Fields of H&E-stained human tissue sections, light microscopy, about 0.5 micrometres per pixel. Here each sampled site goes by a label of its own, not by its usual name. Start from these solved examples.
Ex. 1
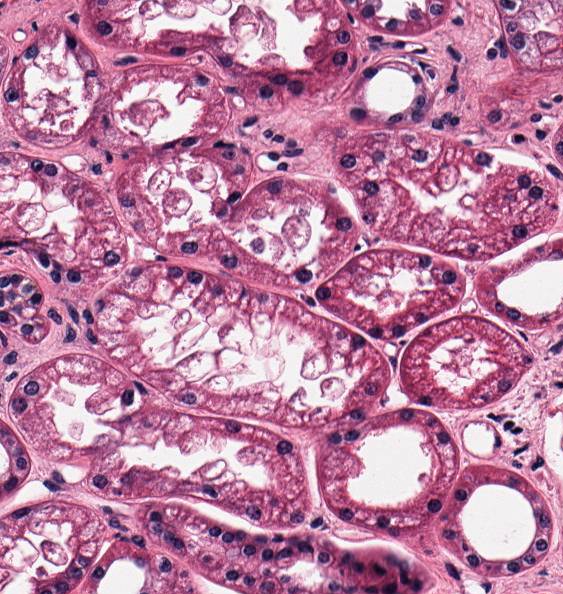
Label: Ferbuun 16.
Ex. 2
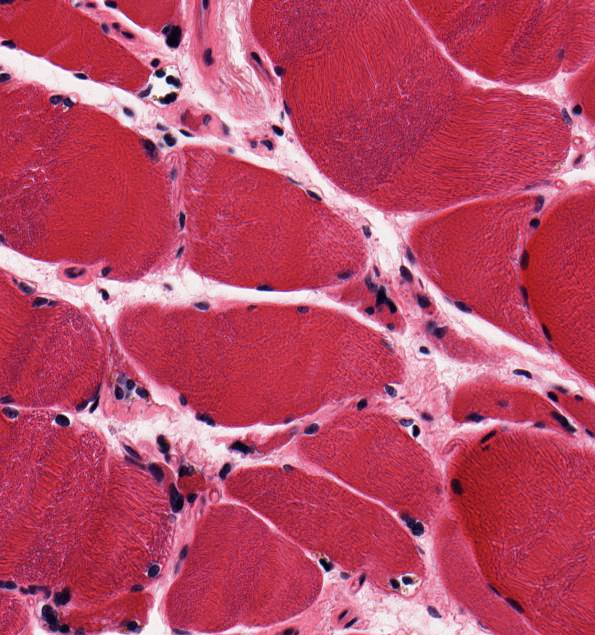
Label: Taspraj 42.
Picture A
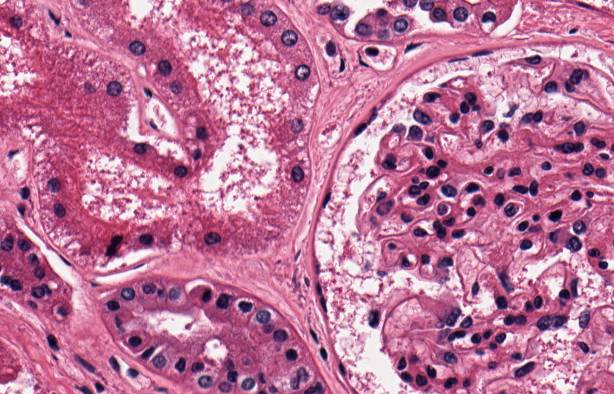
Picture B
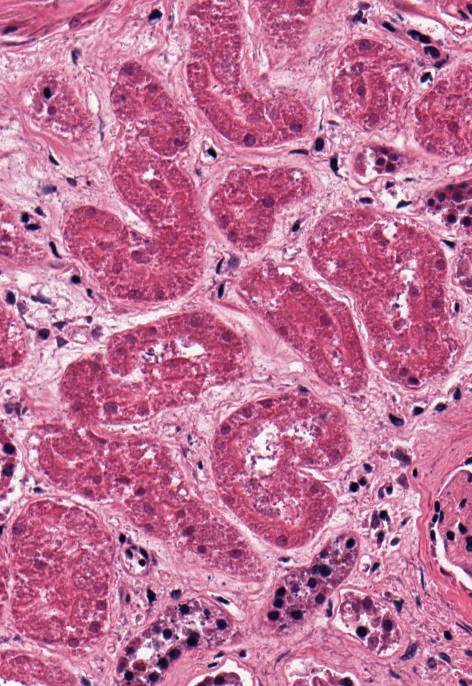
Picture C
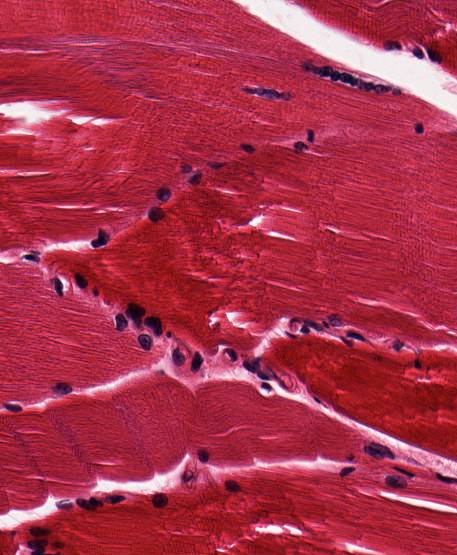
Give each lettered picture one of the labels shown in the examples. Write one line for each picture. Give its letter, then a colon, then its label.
A: Ferbuun 16.
B: Ferbuun 16.
C: Taspraj 42.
